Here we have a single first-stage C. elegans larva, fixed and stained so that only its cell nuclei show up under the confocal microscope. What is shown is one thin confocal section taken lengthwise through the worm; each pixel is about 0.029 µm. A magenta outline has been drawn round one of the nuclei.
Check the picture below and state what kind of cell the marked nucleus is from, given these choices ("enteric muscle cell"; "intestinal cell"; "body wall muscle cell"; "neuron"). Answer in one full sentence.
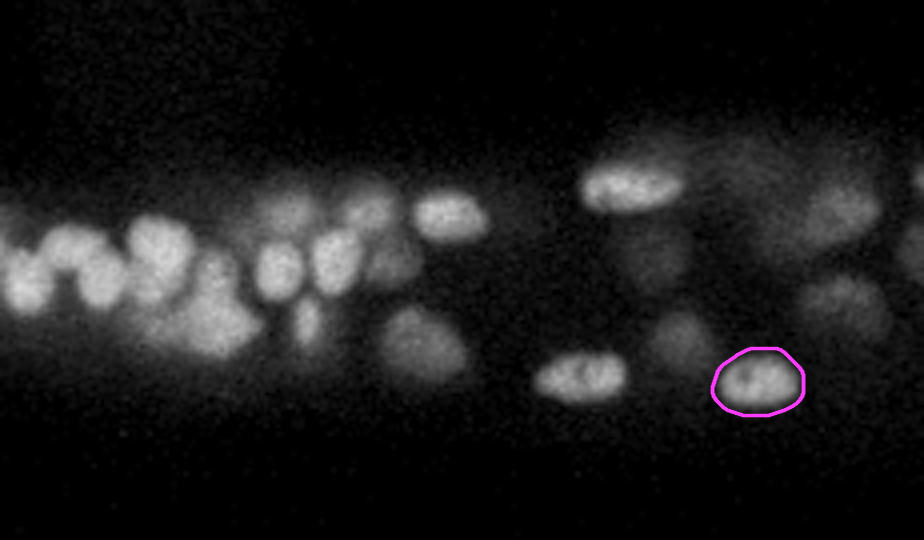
It belongs to a body wall muscle cell.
